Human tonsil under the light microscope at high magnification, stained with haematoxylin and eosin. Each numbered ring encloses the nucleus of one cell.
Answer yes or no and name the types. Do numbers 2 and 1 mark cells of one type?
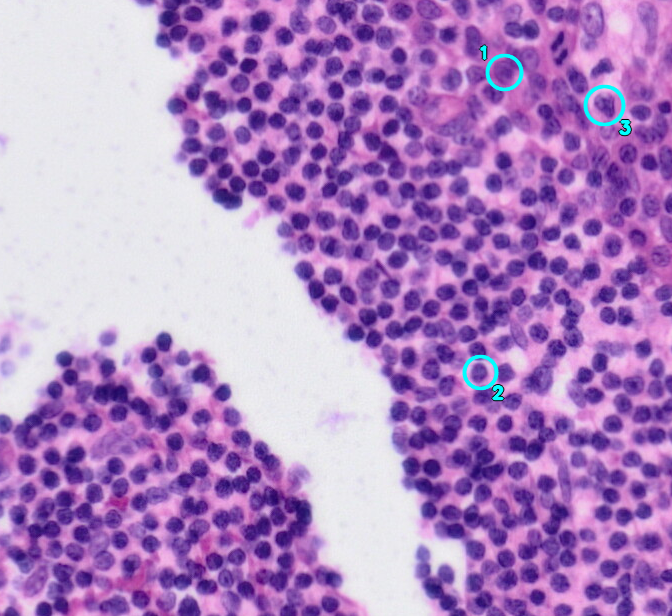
No, cell 2 is a small lymphocyte, and cell 1, in contrast, is a squamous epithelial cell.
